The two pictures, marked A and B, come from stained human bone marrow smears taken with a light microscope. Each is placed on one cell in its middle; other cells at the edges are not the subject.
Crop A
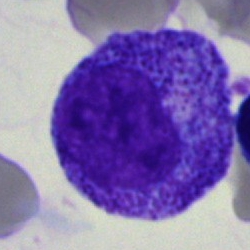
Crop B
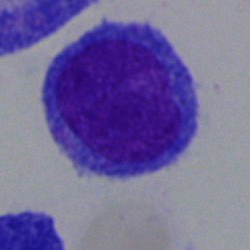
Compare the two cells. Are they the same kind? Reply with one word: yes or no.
no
